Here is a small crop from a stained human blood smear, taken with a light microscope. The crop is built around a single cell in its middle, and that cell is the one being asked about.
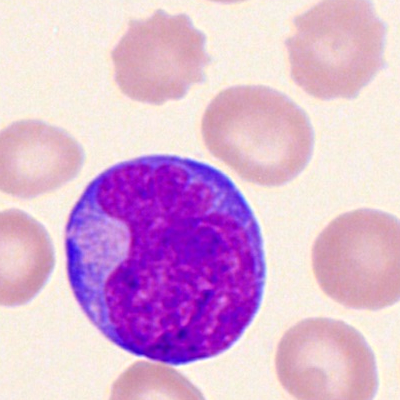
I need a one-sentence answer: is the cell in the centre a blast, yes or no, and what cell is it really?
Yes, the cell in the middle of the view is a blast.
